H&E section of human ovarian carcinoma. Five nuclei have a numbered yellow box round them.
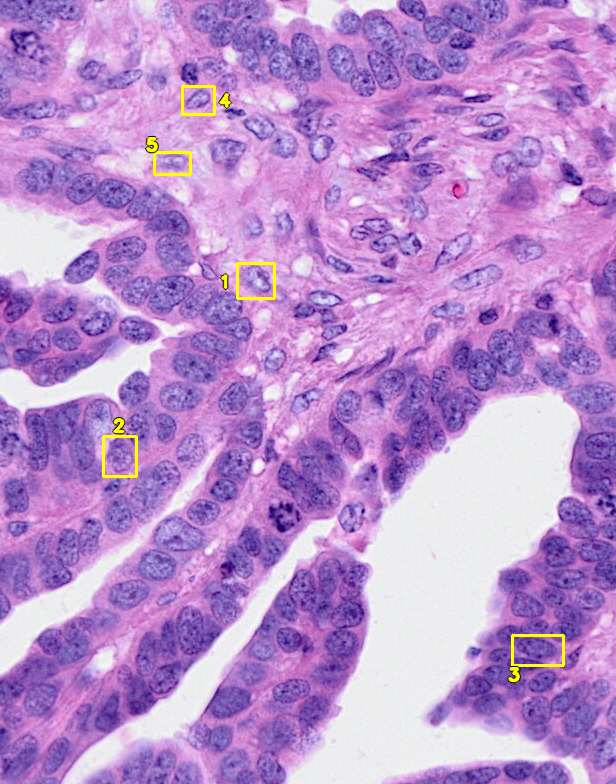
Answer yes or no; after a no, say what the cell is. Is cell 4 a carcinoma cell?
No, it is a fibroblast.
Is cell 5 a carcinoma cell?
No, it is a fibroblast.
